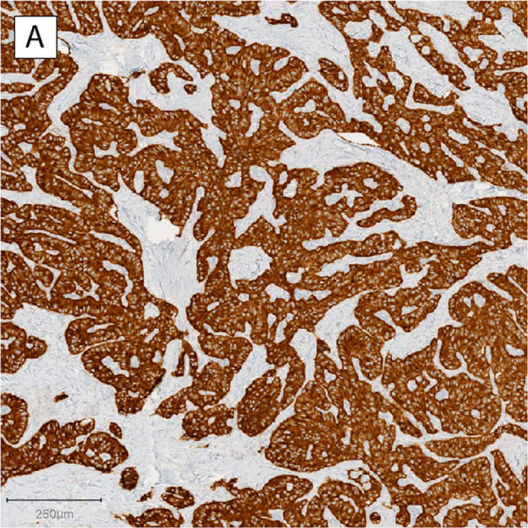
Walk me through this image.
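Small round lumen-like spaces are scattered within the cell sheets. The cytoplasm of nearly all tumor cells is strongly and diffusely brown, with paler nuclei visible within it. Between the cell masses lies pale, sparsely cellular fibrous stroma that stays unstained.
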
